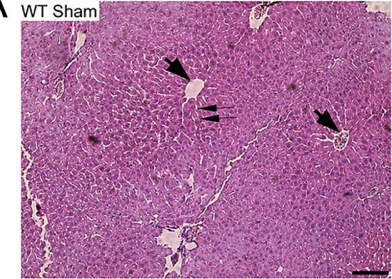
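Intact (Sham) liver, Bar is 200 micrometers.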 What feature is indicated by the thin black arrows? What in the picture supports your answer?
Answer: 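The thin arrows point to fine pale lines between rows of cells near a vessel.
Hence: sinusoids.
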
